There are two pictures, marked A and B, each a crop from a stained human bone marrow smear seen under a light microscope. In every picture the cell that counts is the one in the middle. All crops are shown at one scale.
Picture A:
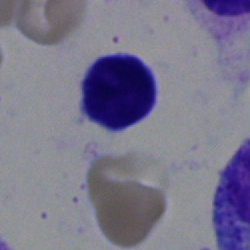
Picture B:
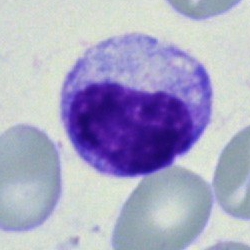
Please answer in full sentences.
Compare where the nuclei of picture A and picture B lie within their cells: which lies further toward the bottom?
It is the nucleus in picture B that lies further toward the bottom of its cell.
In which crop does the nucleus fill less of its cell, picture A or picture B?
Of the two, the nucleus in picture B leaves more room for cytoplasm.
